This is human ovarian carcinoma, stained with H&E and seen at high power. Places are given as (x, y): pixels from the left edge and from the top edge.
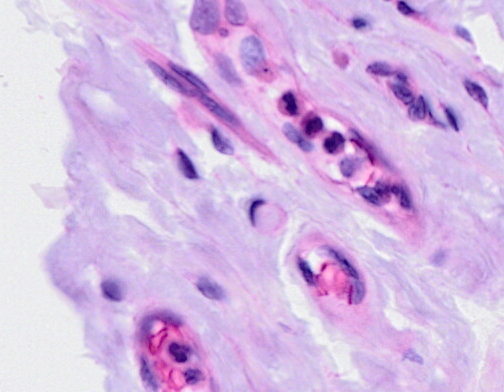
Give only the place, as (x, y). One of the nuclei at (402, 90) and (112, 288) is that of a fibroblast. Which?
(112, 288)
